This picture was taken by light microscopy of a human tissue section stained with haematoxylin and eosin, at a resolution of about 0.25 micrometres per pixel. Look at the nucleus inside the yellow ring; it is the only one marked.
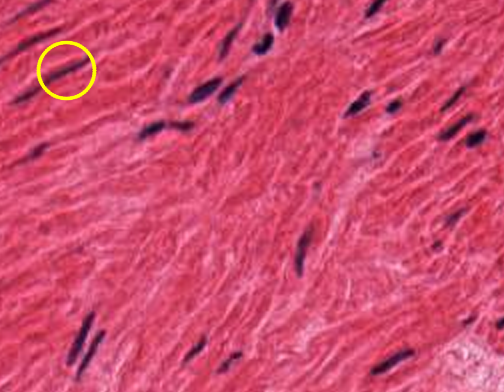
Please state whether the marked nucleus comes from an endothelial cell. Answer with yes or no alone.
no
